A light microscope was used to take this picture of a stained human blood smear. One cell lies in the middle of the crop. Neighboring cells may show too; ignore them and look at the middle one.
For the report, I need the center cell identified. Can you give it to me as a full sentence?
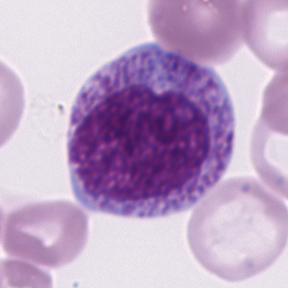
This crop has a promyelocyte at its centre.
